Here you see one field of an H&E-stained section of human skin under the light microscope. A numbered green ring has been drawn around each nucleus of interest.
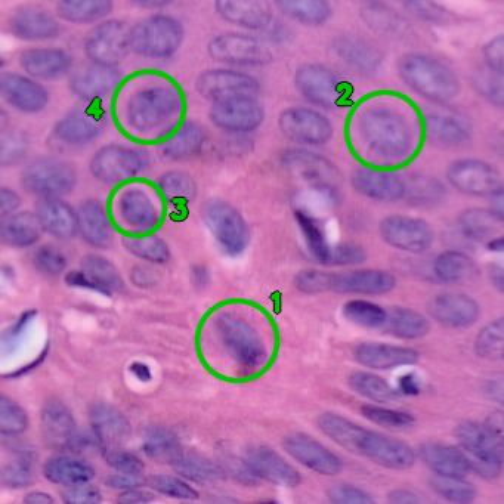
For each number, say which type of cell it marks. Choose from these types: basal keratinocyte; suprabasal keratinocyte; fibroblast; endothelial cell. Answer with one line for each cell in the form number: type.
1: fibroblast
2: suprabasal keratinocyte
3: basal keratinocyte
4: suprabasal keratinocyte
